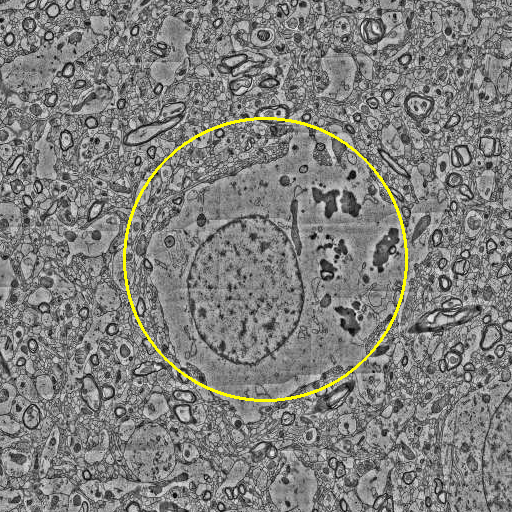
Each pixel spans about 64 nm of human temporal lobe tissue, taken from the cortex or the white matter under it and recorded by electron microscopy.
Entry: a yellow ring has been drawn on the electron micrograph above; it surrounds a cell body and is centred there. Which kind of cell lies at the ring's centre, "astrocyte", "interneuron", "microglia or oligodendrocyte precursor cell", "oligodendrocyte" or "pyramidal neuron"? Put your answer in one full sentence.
The cell sitting at the ring's centre is an astrocyte in the micrograph above.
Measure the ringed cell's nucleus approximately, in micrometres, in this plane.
Approximately 10 x 7 micrometres in this plane.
